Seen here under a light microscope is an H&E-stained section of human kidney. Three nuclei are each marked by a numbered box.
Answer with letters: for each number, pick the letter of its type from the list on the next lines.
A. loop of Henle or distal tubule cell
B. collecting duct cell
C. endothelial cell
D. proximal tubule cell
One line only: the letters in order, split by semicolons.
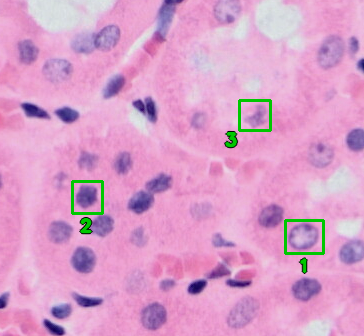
D; A; D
